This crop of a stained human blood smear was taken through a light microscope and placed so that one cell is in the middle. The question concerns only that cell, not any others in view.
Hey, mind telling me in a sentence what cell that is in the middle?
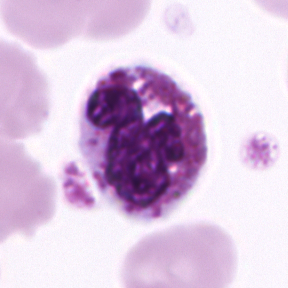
By classification, the middle cell of this crop is an eosinophil.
